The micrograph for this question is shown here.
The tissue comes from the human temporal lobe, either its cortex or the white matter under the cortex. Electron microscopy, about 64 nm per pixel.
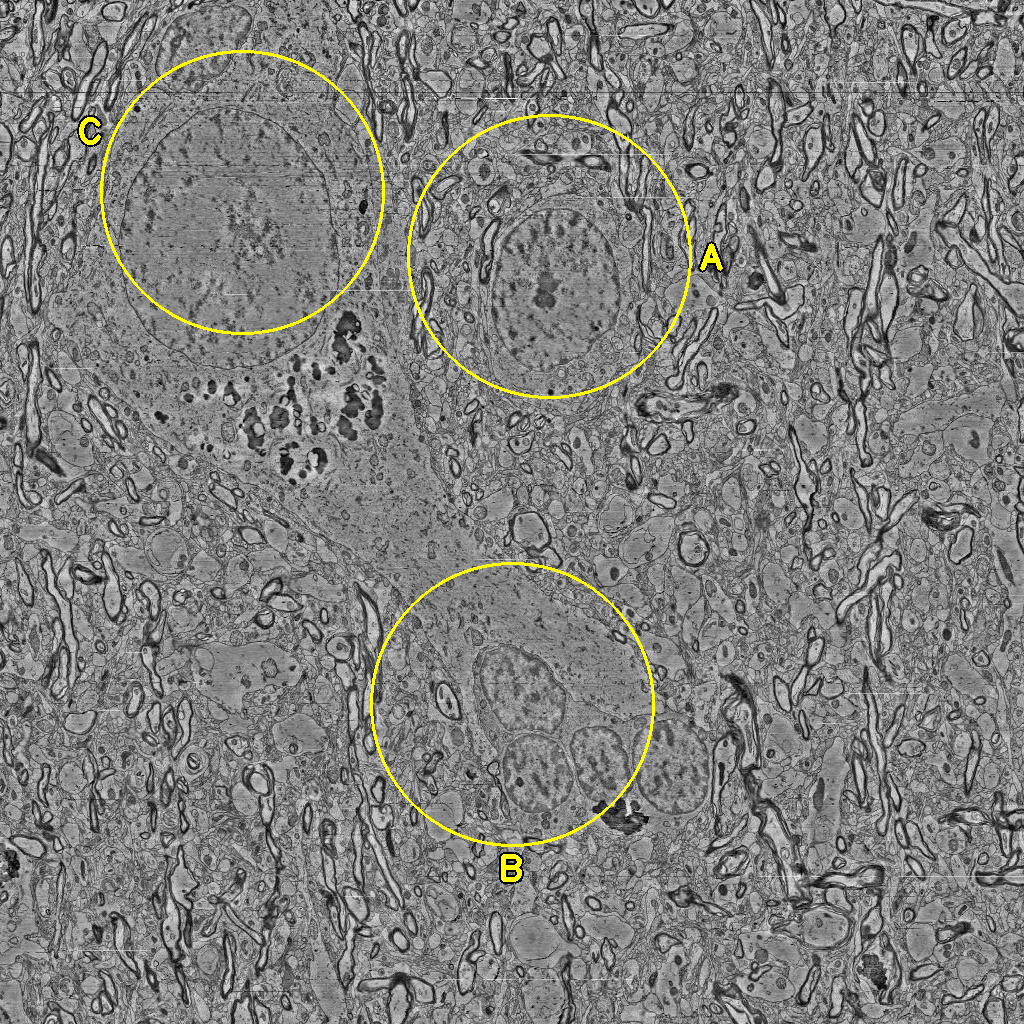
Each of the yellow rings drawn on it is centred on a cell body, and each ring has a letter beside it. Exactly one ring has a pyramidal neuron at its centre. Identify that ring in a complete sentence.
The ring centred on it is ring C.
